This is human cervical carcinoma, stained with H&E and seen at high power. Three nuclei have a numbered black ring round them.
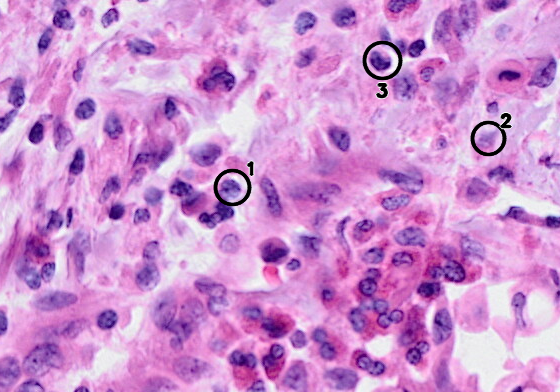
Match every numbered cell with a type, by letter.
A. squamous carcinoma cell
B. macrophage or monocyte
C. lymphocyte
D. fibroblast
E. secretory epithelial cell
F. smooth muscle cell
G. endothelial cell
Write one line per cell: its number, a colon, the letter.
1: C
2: D
3: C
